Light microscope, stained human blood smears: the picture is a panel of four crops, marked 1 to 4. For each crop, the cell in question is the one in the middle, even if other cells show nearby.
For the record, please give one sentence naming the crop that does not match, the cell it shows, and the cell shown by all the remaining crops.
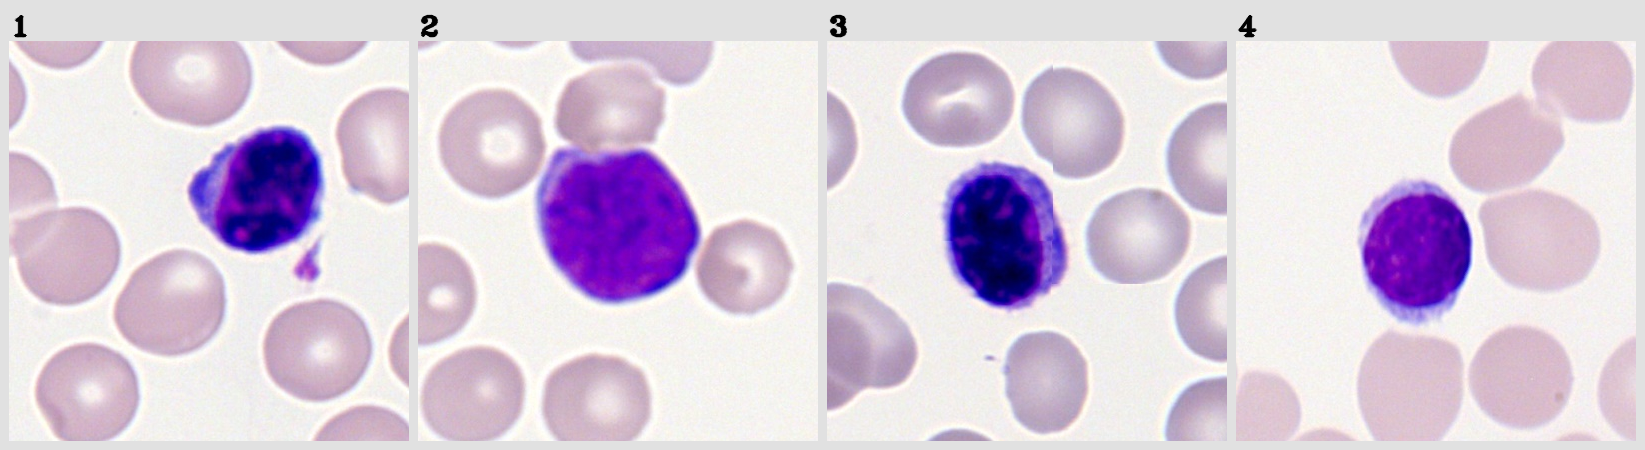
Excluding crop 2, which is a blast, the crops all show lymphocytes.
